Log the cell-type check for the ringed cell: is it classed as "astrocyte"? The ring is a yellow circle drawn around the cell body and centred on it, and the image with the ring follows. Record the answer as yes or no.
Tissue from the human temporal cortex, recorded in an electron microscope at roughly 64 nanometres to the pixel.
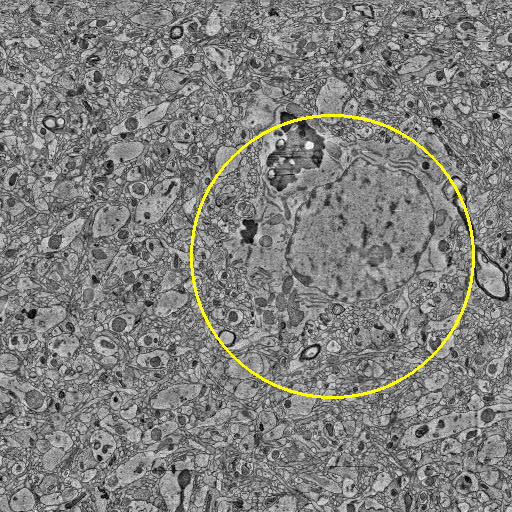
Yes, it is classed that way.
